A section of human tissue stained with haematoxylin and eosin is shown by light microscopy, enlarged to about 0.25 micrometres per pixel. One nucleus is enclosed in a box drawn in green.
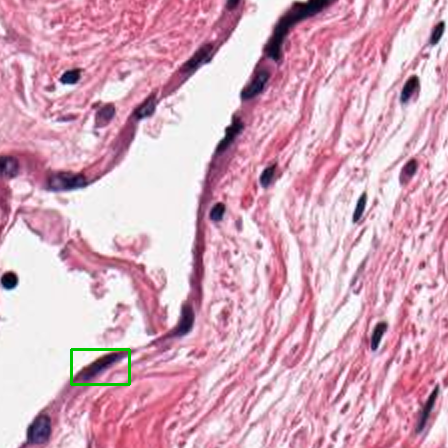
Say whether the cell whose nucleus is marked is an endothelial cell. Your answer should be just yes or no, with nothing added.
yes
